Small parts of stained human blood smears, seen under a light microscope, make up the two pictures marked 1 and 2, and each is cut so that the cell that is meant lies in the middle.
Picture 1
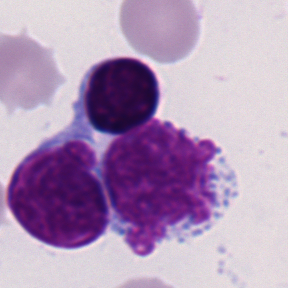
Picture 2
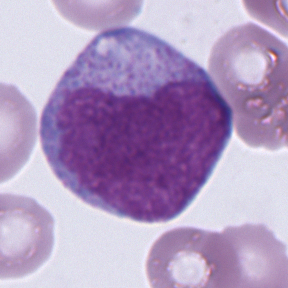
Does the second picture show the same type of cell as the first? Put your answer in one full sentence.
No; the cell in picture 1 is a myeloblast, while the one in picture 2 is a promyelocyte.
